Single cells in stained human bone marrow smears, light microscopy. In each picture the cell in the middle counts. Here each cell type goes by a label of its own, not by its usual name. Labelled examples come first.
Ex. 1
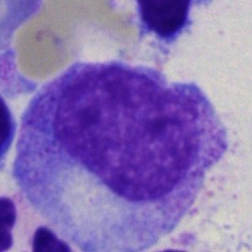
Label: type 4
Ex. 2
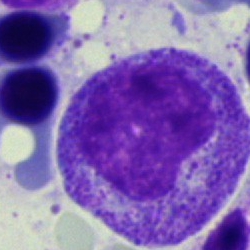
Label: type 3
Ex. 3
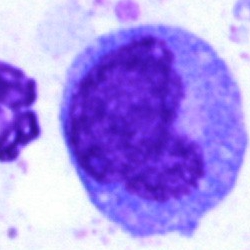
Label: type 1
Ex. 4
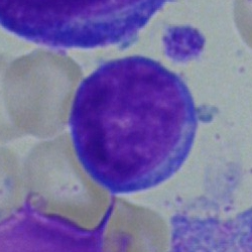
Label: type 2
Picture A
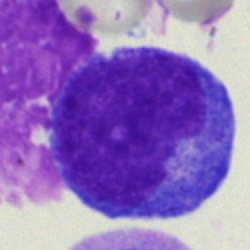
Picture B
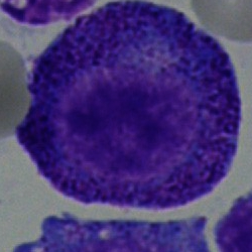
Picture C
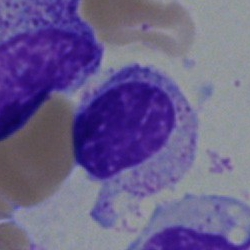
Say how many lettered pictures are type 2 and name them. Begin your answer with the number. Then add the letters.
1, namely A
